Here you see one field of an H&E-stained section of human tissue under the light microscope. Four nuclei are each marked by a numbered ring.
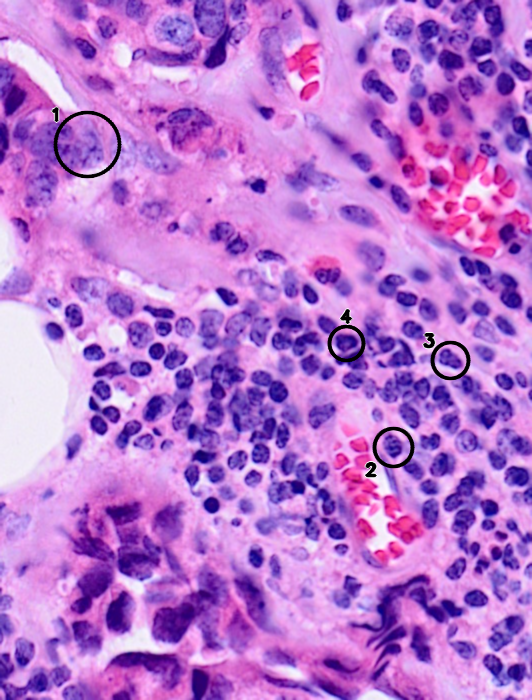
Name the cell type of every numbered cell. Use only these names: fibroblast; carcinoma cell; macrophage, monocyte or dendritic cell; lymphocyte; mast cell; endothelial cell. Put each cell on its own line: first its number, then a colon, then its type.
1: carcinoma cell
2: lymphocyte
3: lymphocyte
4: lymphocyte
